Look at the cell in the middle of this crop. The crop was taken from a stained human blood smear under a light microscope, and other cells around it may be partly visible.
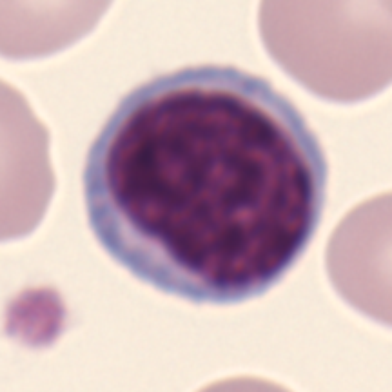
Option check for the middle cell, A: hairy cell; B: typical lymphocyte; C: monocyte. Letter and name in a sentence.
Well, the cell in the middle is a typical lymphocyte, making option B right.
